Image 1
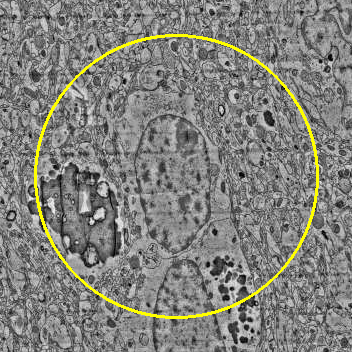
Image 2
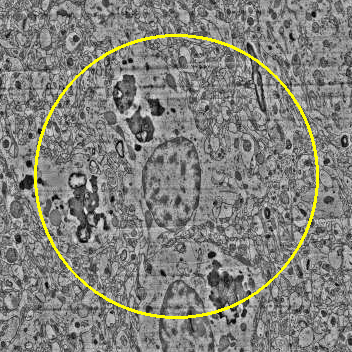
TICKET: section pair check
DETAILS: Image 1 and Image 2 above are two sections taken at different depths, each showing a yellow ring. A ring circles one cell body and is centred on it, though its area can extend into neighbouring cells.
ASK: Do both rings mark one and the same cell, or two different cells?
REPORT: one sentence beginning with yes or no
Yes, the two marked outlines come from one and the same cell.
